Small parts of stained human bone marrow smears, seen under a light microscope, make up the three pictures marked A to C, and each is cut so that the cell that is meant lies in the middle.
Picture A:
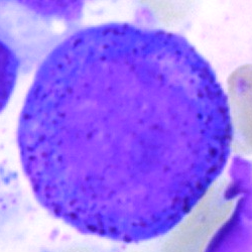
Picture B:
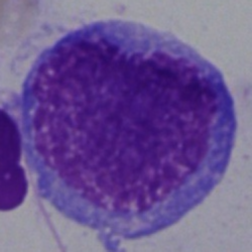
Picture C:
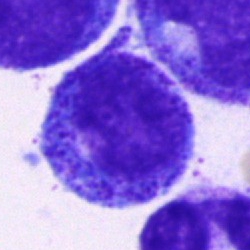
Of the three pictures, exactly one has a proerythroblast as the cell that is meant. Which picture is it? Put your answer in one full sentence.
Picture B shows the proerythroblast.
